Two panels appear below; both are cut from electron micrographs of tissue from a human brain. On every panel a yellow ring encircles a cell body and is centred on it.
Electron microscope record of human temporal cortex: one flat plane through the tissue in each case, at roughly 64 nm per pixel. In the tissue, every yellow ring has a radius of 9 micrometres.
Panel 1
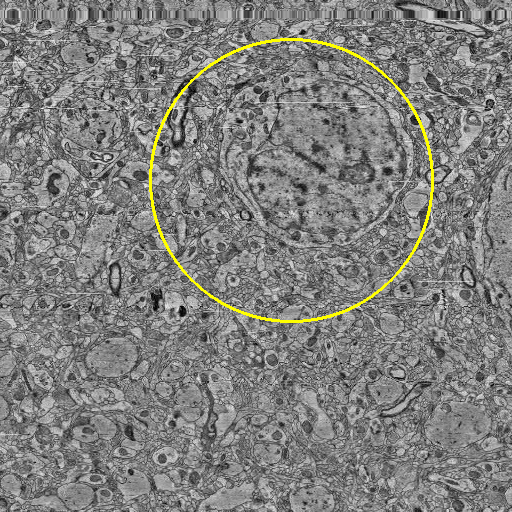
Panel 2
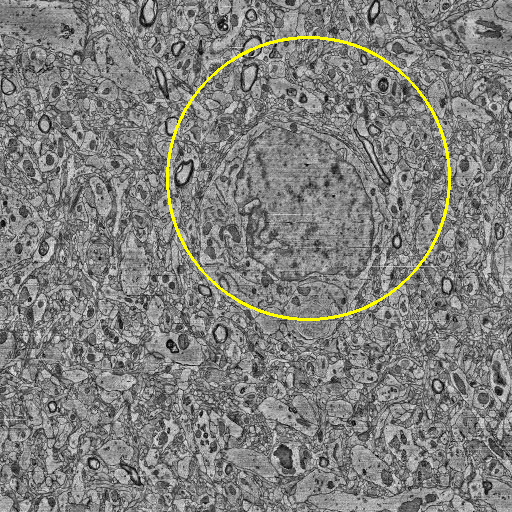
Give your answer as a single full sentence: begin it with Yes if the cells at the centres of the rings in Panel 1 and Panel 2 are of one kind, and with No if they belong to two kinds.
Yes, the cells in the middle of the rings in Panels 1 and 2 are of one kind.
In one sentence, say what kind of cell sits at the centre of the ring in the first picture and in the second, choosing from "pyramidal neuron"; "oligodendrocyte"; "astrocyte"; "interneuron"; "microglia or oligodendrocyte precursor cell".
Each one of the two ringed cells is an interneuron.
